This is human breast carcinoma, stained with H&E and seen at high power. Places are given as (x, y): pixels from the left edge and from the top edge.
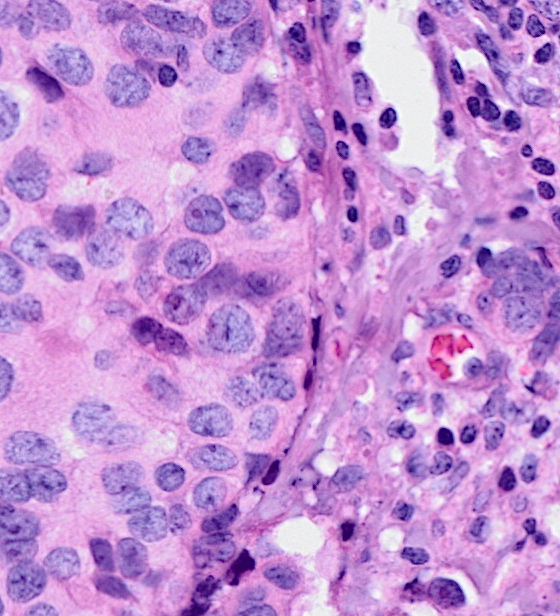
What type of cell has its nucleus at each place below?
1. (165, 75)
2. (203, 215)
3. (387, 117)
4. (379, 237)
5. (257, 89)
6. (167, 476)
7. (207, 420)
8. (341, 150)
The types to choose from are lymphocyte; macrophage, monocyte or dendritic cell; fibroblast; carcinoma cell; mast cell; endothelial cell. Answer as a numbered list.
1. lymphocyte
2. carcinoma cell
3. lymphocyte
4. macrophage, monocyte or dendritic cell
5. carcinoma cell
6. carcinoma cell
7. carcinoma cell
8. lymphocyte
